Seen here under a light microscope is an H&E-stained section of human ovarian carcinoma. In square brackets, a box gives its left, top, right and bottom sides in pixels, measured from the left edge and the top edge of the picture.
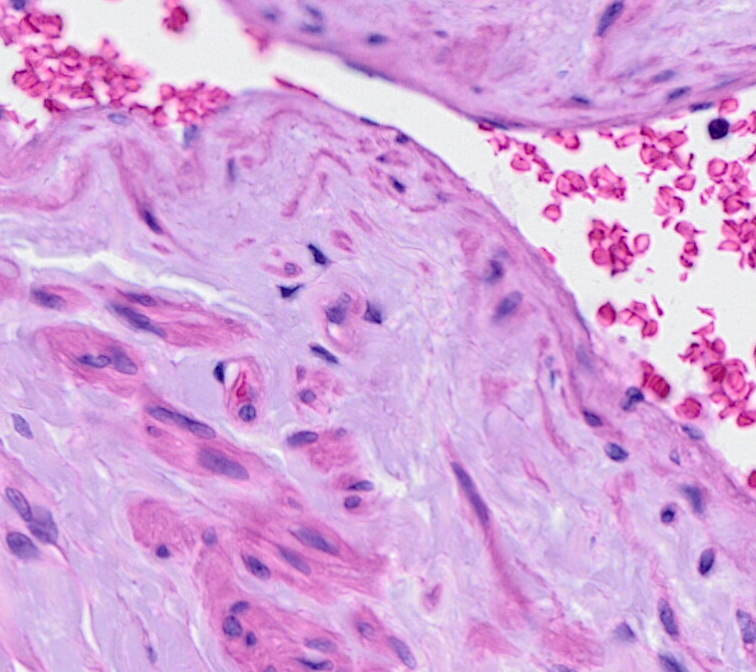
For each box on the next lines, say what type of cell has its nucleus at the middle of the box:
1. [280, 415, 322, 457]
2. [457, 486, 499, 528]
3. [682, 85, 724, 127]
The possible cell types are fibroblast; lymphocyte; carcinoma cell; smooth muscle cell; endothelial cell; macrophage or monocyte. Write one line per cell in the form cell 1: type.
cell 1: smooth muscle cell
cell 2: smooth muscle cell
cell 3: endothelial cell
